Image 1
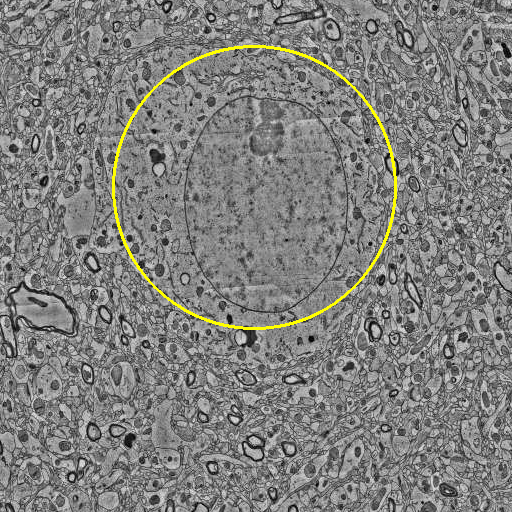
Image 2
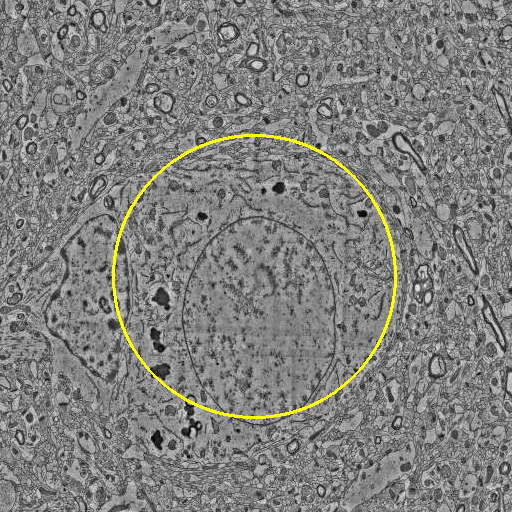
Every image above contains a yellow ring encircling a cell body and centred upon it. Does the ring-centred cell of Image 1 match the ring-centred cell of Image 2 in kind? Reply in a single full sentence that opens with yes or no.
Yes, the cell at the ring's centre in Image 1 is the same kind as that in Image 2.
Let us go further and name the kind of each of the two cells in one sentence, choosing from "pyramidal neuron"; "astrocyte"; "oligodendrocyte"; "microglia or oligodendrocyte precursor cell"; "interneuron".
The second cell is a pyramidal neuron, just as the first is.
